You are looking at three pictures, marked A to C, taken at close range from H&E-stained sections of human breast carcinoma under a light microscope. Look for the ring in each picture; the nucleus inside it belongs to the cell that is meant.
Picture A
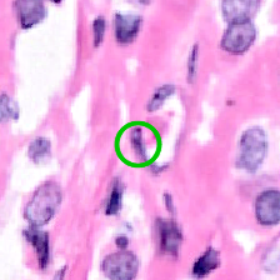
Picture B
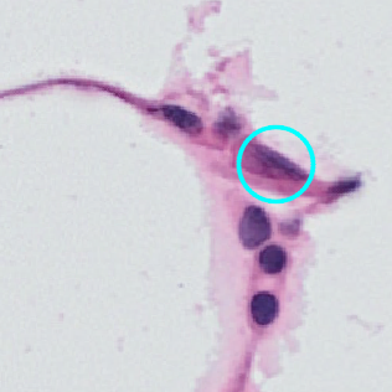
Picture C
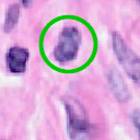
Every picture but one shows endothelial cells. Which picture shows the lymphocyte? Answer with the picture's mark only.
C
